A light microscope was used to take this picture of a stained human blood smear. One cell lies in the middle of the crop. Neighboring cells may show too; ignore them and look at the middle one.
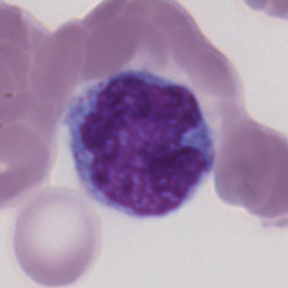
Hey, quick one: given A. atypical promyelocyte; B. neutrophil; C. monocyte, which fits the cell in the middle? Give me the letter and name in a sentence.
Option C is the keyed answer: the cell in the middle is a monocyte.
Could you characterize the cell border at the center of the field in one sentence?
Thanks for asking; the cell edge is smooth and has no projections.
